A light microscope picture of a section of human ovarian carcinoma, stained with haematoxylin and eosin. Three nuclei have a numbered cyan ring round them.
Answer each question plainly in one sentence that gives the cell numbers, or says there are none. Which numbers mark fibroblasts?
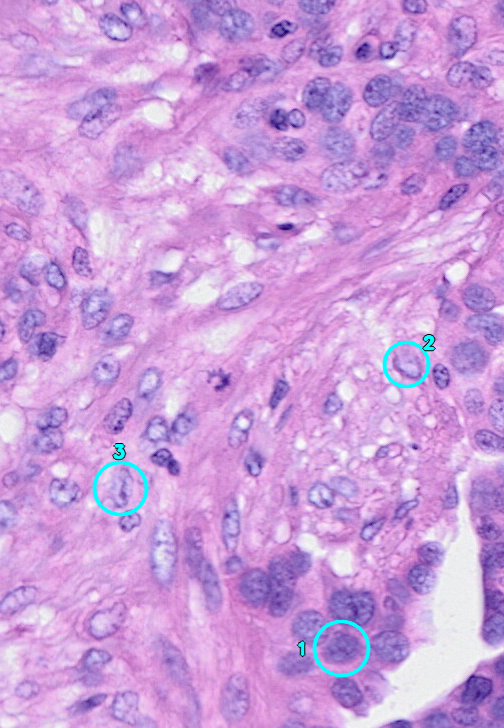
Identified as fibroblasts are the cells numbered 2 and 3.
